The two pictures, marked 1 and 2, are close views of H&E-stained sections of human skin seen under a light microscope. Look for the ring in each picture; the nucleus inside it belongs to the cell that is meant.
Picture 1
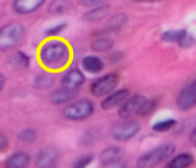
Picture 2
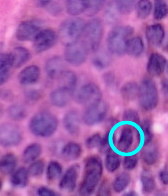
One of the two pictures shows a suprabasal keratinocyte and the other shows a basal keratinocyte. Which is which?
1: suprabasal keratinocyte
2: basal keratinocyte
